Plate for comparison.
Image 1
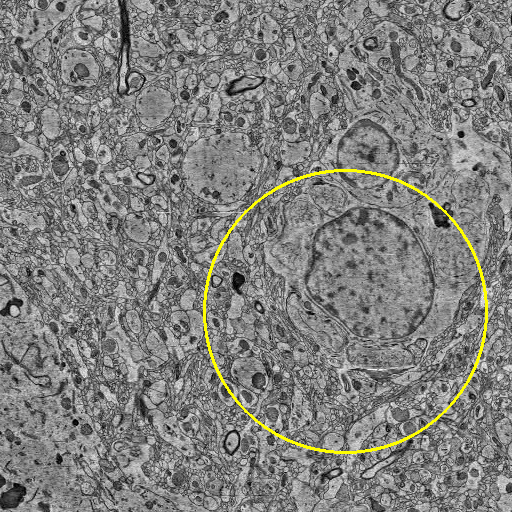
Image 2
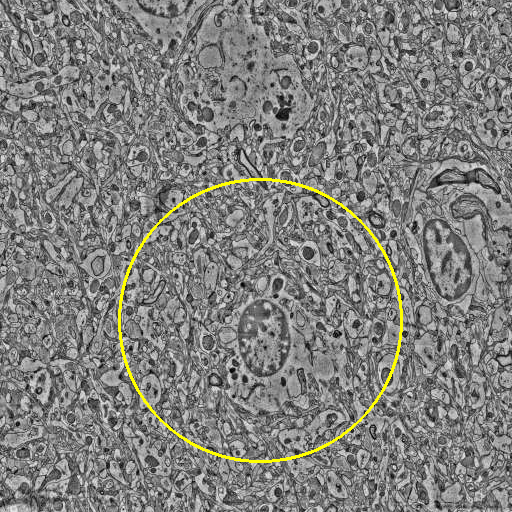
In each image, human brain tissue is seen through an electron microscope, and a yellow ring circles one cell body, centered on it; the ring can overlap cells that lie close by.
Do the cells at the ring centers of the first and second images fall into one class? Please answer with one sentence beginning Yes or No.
Yes, the first and second images show a single class of cell at the ring centers.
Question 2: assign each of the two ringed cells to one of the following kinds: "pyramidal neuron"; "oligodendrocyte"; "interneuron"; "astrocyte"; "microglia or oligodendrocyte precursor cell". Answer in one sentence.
Each of the ringed cells, first and second, is an astrocyte.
